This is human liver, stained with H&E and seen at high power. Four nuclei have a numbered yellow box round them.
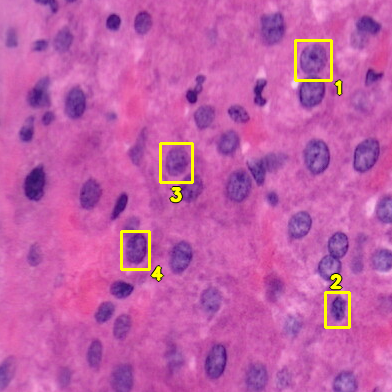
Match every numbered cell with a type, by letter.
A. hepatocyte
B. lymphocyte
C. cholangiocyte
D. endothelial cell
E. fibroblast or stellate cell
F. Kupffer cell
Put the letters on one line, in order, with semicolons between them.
A; E; A; A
